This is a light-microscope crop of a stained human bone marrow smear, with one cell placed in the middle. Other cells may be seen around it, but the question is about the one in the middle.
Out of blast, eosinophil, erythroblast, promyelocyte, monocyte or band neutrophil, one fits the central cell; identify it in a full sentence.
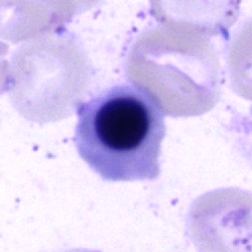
The cell in the exact centre of the crop is an erythroblast.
